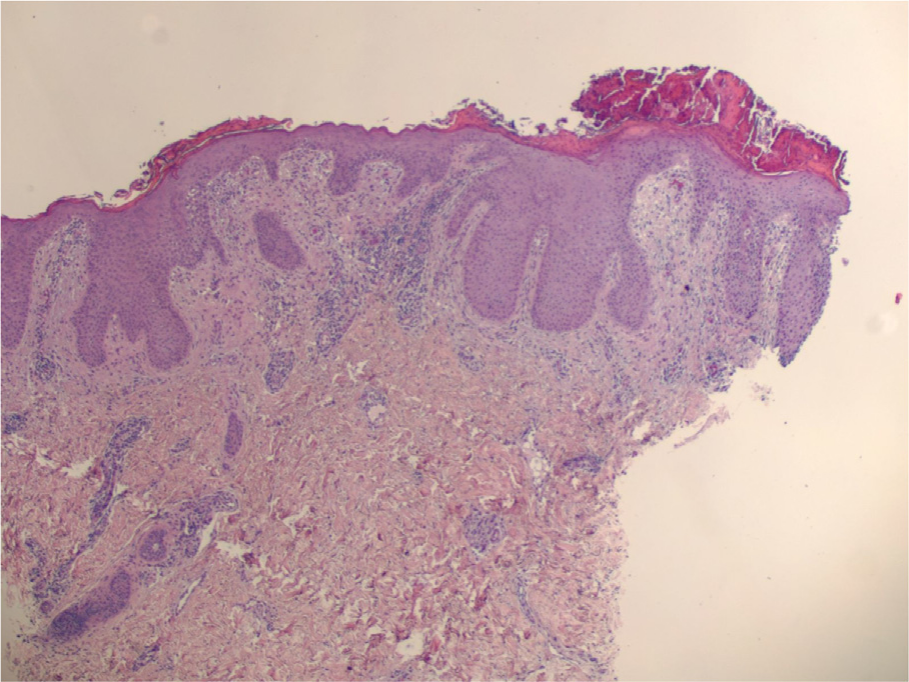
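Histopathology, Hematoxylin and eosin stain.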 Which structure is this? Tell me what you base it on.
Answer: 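Long club-shaped epidermal projections extend deep into the dermis. On this evidence: elongated rete ridges.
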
